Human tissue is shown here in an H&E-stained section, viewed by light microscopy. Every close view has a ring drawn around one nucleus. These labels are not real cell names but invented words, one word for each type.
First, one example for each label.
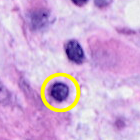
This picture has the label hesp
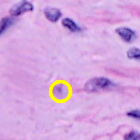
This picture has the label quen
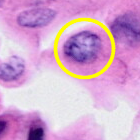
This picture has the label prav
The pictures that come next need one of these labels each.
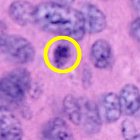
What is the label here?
prav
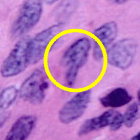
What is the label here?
prav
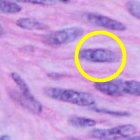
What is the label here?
quen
